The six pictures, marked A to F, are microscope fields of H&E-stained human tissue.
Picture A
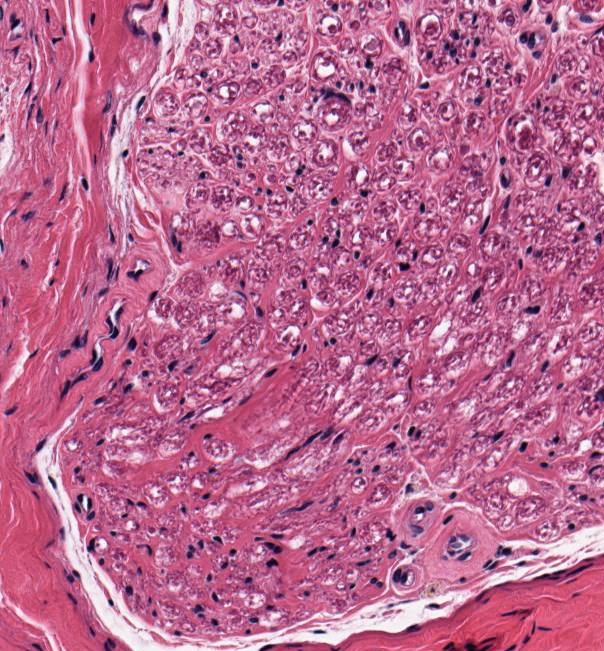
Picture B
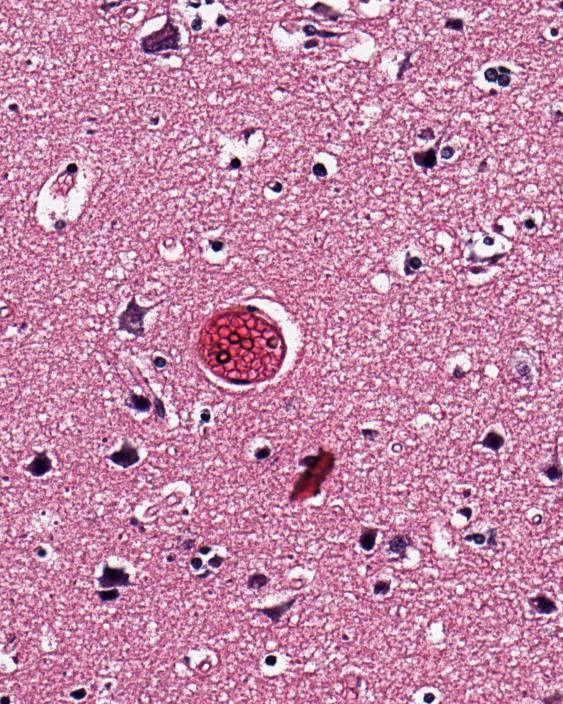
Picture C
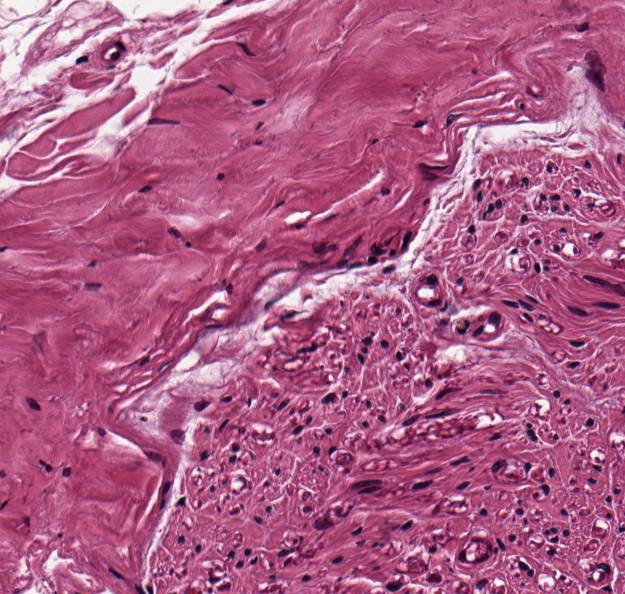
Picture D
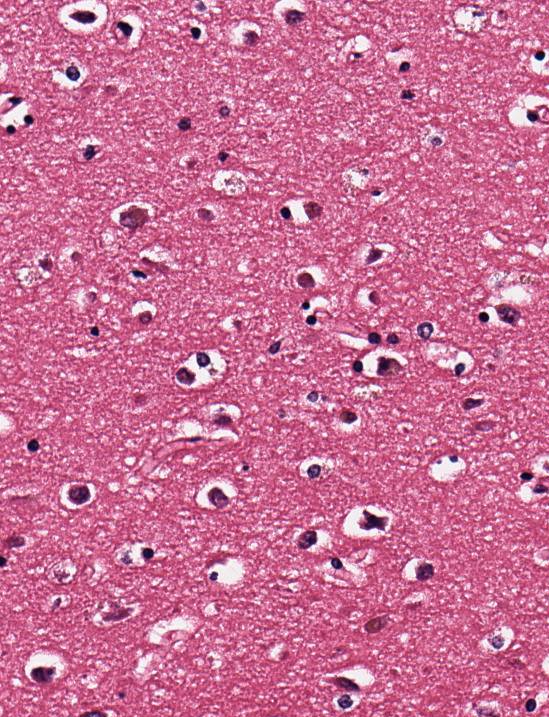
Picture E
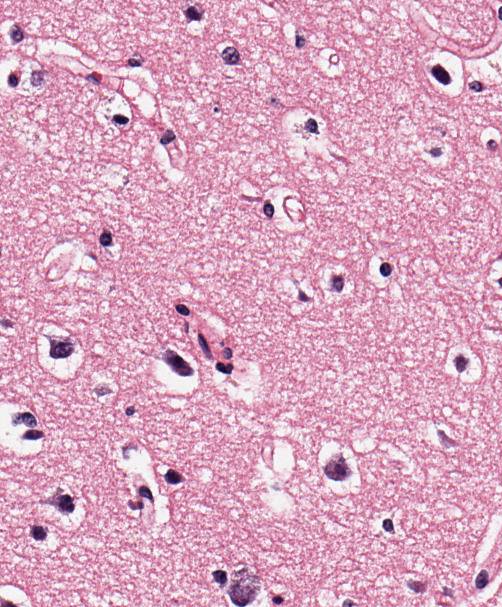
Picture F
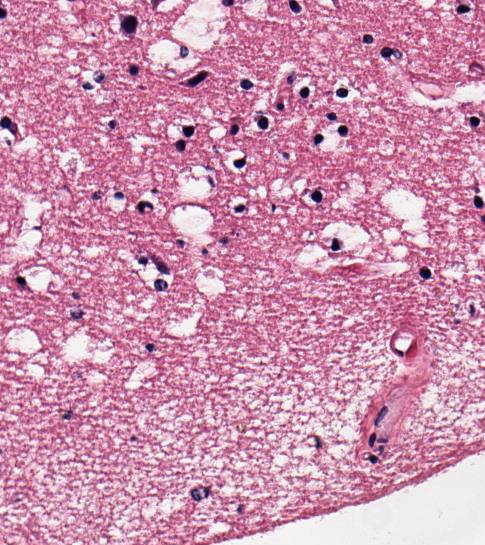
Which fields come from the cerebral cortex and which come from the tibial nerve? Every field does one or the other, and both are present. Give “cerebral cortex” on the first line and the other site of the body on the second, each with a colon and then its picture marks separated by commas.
cerebral cortex: B, D, E, F
tibial nerve: A, C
